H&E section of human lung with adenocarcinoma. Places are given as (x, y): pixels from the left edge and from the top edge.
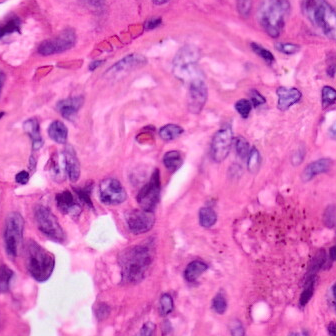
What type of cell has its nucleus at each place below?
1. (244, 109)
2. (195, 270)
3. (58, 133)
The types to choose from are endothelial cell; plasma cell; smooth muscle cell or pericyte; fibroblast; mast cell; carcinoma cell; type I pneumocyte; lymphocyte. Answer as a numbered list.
1. lymphocyte
2. plasma cell
3. lymphocyte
